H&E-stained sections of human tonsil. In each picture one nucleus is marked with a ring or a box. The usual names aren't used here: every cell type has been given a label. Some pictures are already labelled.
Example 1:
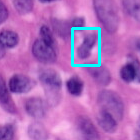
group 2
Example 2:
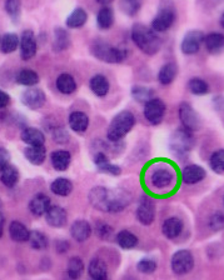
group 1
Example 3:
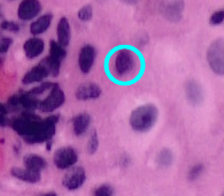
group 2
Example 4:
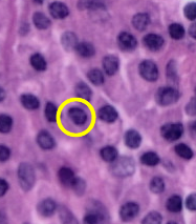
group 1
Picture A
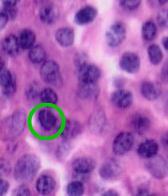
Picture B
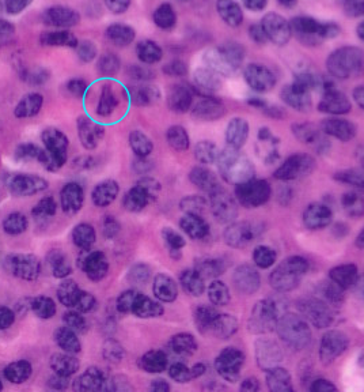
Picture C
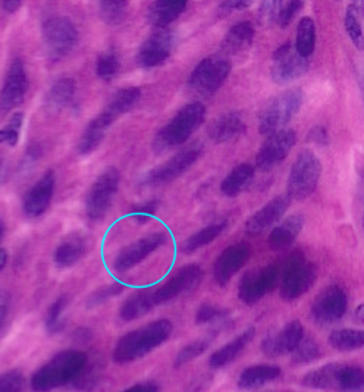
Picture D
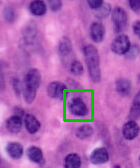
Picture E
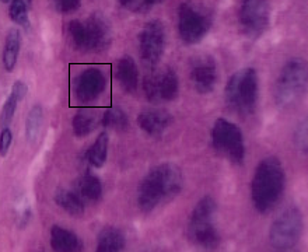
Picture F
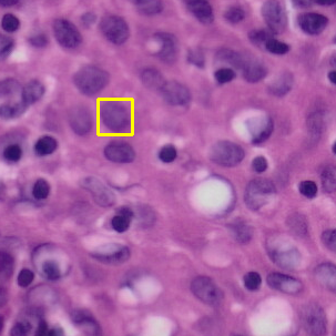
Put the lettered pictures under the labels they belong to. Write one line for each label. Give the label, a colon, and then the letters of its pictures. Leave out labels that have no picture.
group 2: C, E, F
group 1: A, B, D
